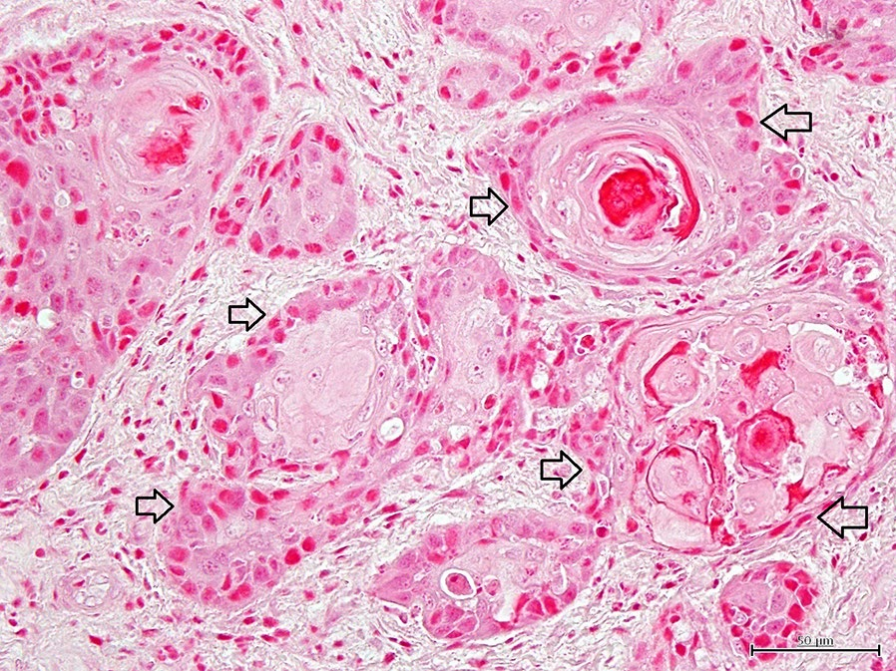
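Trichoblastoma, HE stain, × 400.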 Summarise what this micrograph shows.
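Rounded nests of epithelial tumor cells lie separated by loose fibrous stroma that holds scattered spindle-shaped cells. The cells at the rim of each nest are small and crowded, with darker nuclei. Toward the centre the cells are larger, with pale pink cytoplasm, and several nests hold concentric lamellae around a core of bright red keratinous material.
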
